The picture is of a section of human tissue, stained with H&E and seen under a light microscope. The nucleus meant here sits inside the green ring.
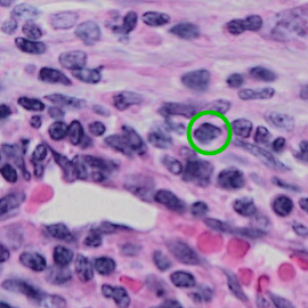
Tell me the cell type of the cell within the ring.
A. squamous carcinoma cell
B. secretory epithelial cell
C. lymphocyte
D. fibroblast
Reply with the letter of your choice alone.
C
